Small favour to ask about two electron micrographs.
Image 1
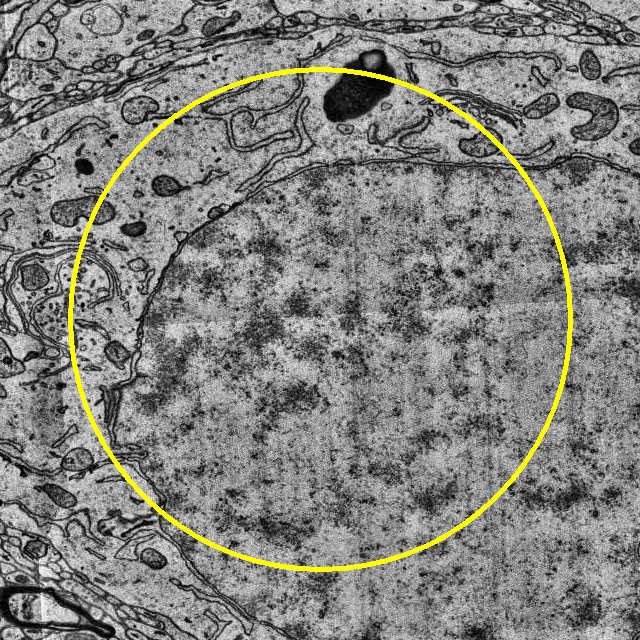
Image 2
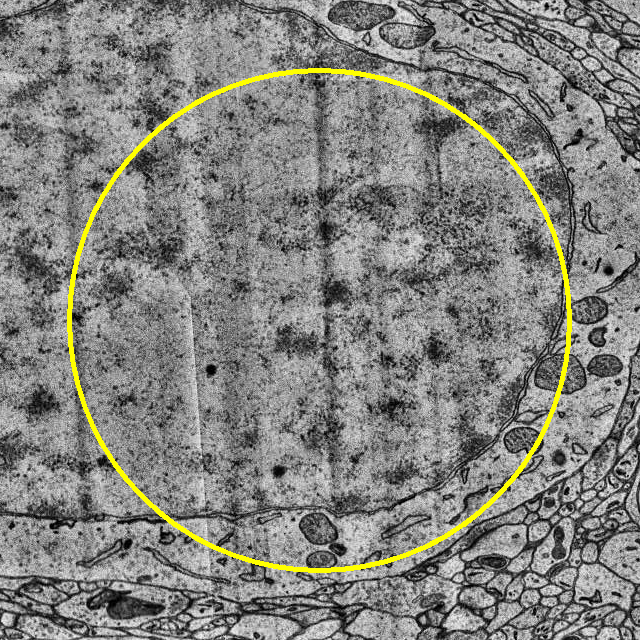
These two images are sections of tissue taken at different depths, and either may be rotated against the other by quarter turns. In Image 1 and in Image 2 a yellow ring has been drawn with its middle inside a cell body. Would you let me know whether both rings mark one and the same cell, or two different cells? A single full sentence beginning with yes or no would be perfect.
Yes, the same cell turns up inside each of the two rings.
